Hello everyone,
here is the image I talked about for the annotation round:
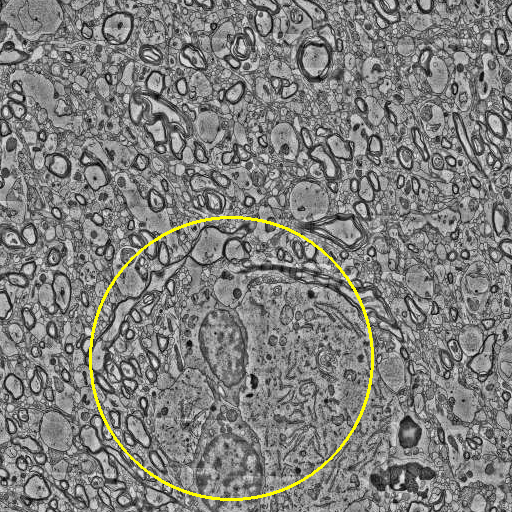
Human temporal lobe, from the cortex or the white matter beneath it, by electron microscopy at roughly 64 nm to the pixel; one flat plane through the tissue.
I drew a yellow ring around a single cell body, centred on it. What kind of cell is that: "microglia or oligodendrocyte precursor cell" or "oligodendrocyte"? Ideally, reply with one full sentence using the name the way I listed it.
The cell your yellow ring is centred on is an oligodendrocyte, going by your list.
